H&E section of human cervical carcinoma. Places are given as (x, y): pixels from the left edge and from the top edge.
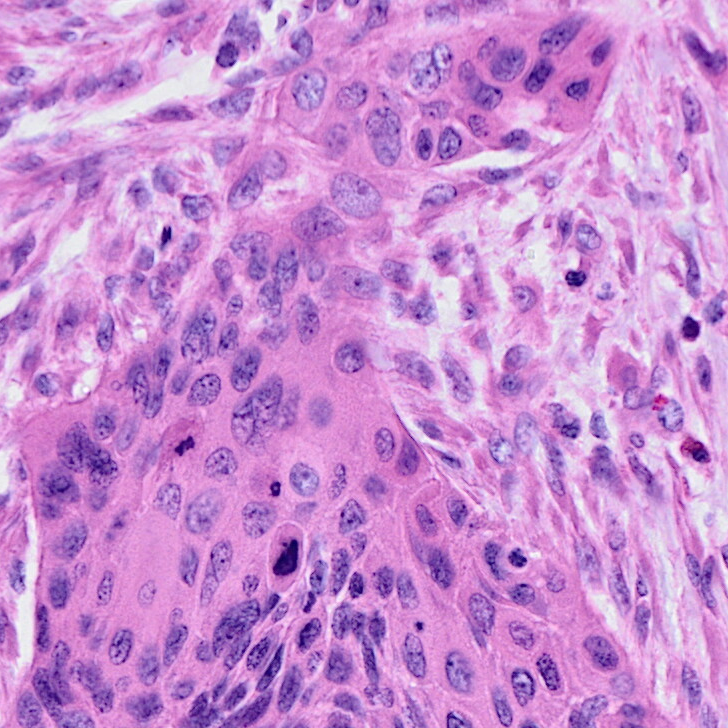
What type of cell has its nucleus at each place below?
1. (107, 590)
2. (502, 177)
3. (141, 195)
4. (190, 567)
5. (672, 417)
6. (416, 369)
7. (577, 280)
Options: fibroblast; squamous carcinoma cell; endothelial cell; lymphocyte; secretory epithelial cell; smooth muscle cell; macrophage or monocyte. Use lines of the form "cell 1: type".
cell 1: squamous carcinoma cell
cell 2: fibroblast
cell 3: fibroblast
cell 4: squamous carcinoma cell
cell 5: endothelial cell
cell 6: fibroblast
cell 7: lymphocyte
